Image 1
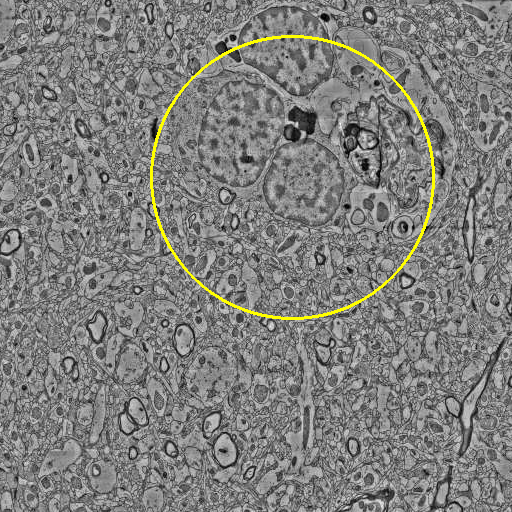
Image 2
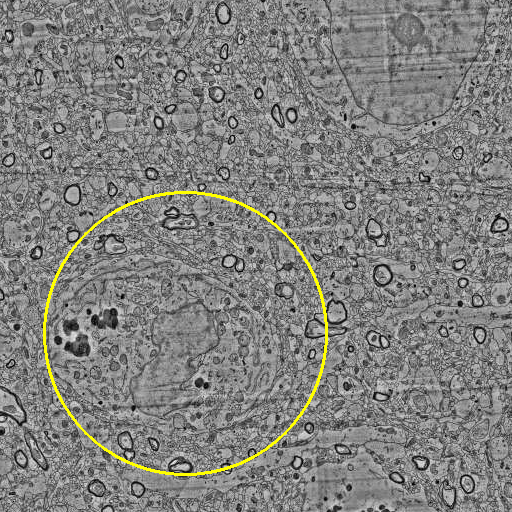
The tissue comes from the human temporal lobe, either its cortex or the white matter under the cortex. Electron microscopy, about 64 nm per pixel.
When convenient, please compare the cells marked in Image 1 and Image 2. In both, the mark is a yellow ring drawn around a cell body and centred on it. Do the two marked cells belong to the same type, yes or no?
no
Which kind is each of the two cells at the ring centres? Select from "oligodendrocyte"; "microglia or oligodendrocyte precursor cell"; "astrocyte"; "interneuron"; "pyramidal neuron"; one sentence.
The cell at the centre of the ring is an oligodendrocyte in the first picture and an interneuron in the second.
